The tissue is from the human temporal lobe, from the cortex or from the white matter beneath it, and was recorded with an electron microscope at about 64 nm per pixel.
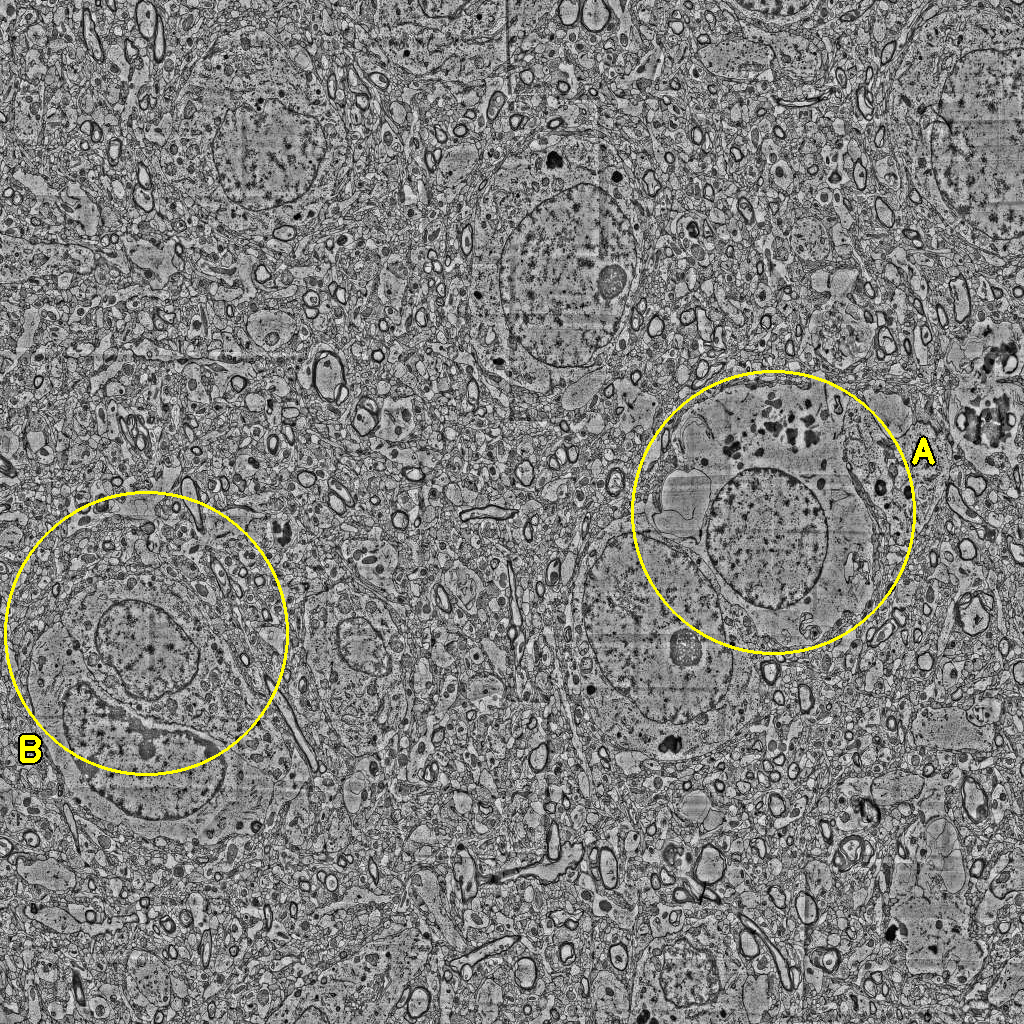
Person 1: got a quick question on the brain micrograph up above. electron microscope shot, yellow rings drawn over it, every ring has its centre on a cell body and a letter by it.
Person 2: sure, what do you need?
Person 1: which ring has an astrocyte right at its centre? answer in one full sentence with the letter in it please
In that picture, ring A is centred on the cell asked for.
